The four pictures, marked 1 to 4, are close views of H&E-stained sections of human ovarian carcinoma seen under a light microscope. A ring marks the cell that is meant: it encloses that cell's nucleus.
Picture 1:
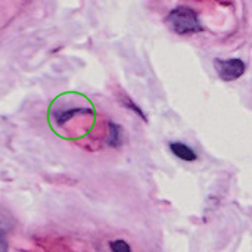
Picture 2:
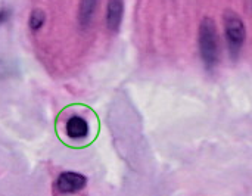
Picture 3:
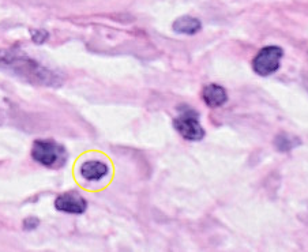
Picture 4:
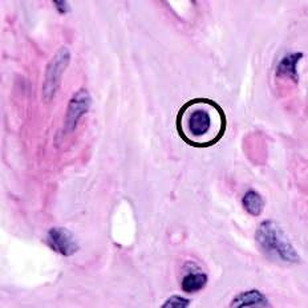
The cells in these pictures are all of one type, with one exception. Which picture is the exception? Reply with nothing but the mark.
1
